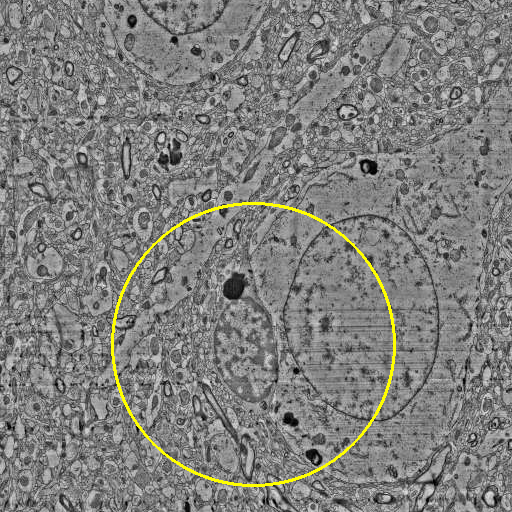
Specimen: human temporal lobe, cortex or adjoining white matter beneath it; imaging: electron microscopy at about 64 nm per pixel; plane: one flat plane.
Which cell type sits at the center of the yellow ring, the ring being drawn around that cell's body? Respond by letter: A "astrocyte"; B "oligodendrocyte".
B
